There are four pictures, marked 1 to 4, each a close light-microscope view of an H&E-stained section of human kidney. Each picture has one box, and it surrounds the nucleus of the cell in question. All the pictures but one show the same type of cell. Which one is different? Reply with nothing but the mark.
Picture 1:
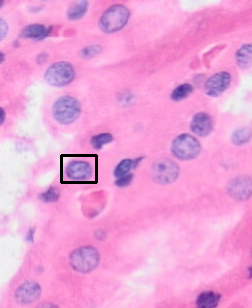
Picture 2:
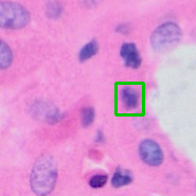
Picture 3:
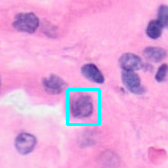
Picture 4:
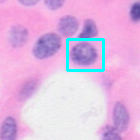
4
